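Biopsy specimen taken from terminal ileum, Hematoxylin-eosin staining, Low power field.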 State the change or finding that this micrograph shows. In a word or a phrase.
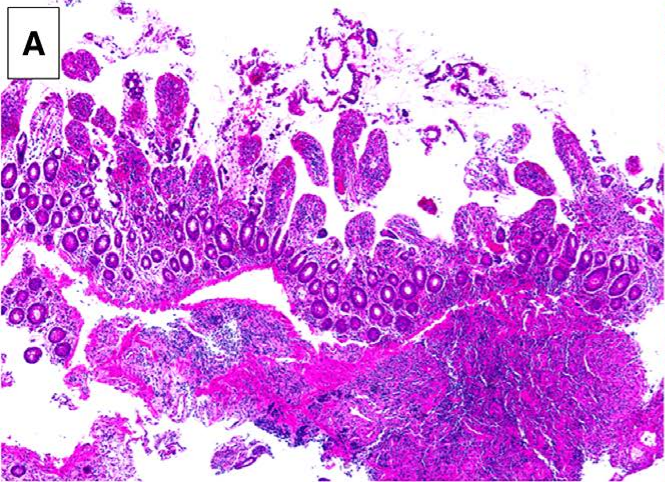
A: Erosive findings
